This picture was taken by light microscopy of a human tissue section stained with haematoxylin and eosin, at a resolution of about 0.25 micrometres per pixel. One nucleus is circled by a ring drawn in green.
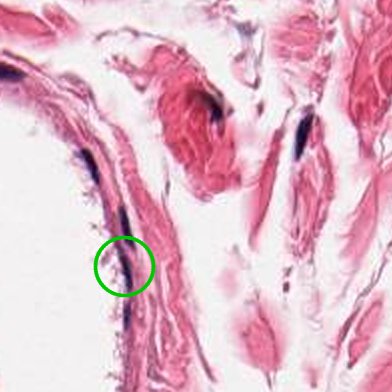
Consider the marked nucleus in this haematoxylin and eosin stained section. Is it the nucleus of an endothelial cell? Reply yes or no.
yes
